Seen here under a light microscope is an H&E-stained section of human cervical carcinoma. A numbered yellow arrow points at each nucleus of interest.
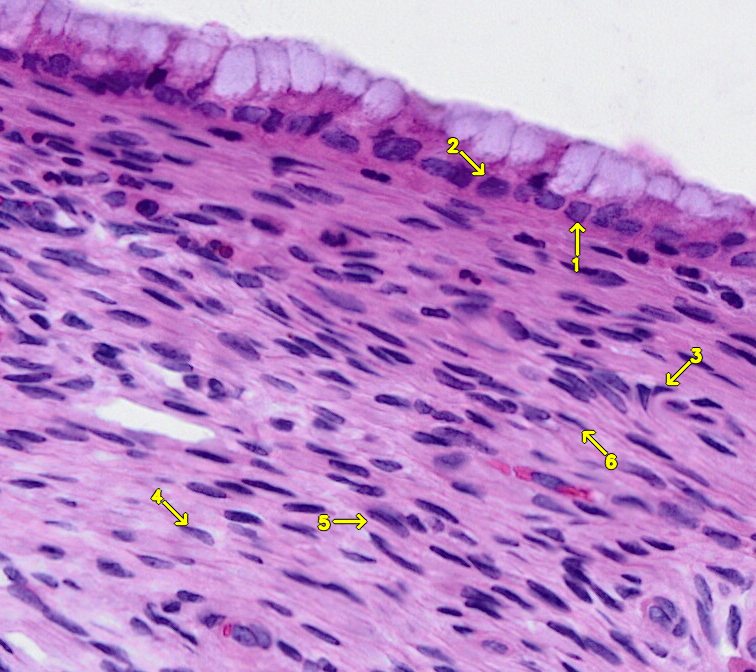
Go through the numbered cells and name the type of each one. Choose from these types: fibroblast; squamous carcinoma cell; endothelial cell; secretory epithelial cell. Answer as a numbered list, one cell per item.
1. secretory epithelial cell
2. secretory epithelial cell
3. fibroblast
4. fibroblast
5. fibroblast
6. fibroblast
